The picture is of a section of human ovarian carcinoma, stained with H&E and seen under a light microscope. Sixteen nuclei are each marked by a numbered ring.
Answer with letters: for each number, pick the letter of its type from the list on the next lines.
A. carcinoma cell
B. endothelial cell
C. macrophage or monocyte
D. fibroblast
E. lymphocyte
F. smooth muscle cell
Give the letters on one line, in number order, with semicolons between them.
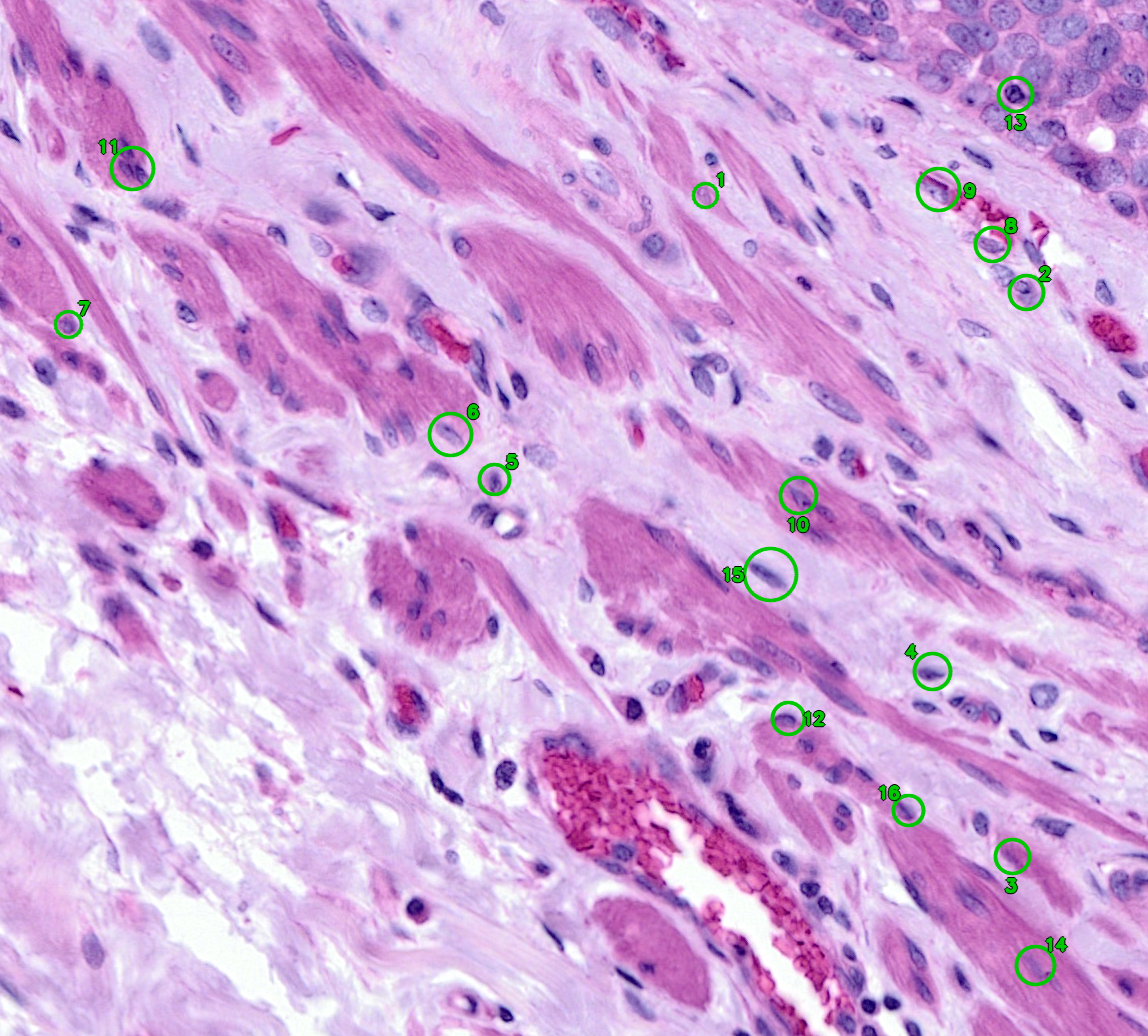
F; B; F; D; B; F; F; B; B; F; F; F; E; F; D; F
